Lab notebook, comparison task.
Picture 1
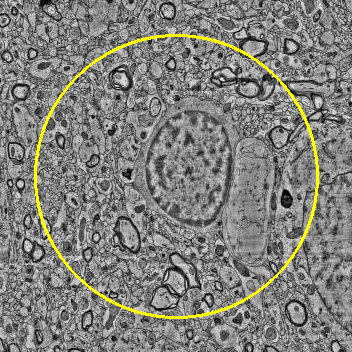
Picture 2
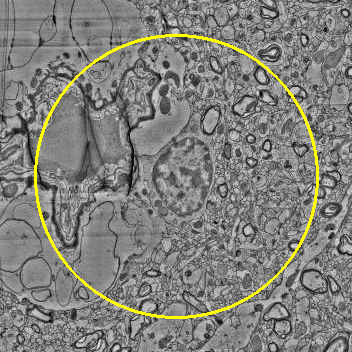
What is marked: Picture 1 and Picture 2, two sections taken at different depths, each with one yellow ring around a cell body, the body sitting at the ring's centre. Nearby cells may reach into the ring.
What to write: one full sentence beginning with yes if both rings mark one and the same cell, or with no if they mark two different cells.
No, these two rings belong to two distinct cells.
